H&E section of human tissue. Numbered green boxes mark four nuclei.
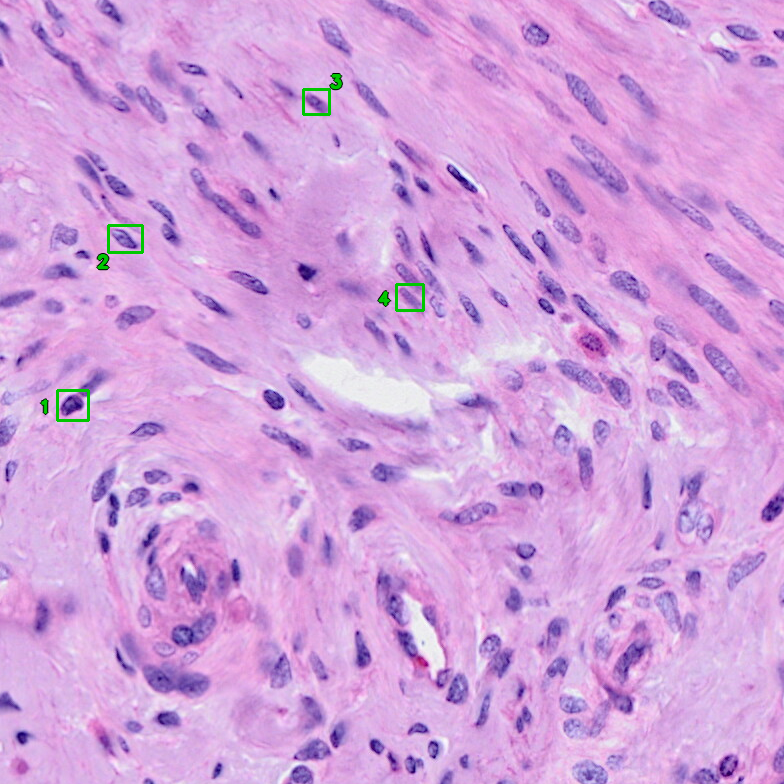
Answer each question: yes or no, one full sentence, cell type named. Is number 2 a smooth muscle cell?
No, the cell carrying number 2 is a fibroblast rather than a smooth muscle cell.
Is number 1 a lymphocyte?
Yes, exactly, the cell numbered 1 is a lymphocyte.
